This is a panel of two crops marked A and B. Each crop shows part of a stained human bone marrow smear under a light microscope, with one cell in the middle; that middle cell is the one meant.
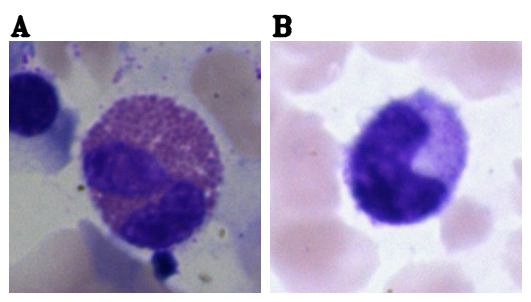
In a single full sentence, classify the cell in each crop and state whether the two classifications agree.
No, crop A carries an eosinophil at its centre, and crop B carries a metamyelocyte.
